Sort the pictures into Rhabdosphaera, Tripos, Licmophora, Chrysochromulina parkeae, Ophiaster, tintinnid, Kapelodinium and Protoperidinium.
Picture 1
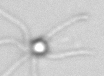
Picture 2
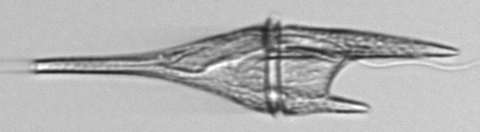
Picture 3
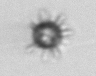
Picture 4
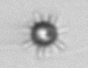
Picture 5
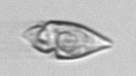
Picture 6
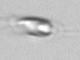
Ophiaster: 1
Tripos: 2
Rhabdosphaera: 3, 4
Kapelodinium: 5
Chrysochromulina parkeae: 6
